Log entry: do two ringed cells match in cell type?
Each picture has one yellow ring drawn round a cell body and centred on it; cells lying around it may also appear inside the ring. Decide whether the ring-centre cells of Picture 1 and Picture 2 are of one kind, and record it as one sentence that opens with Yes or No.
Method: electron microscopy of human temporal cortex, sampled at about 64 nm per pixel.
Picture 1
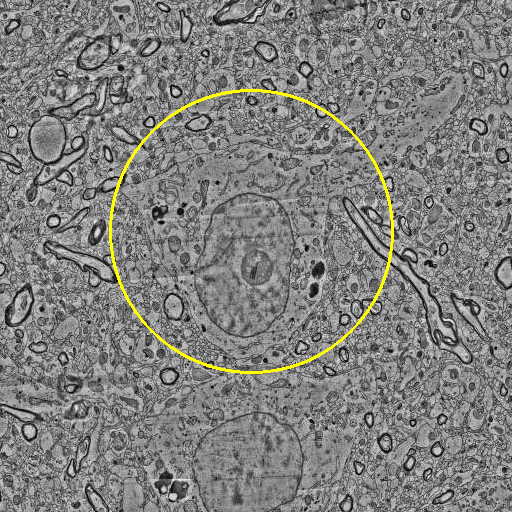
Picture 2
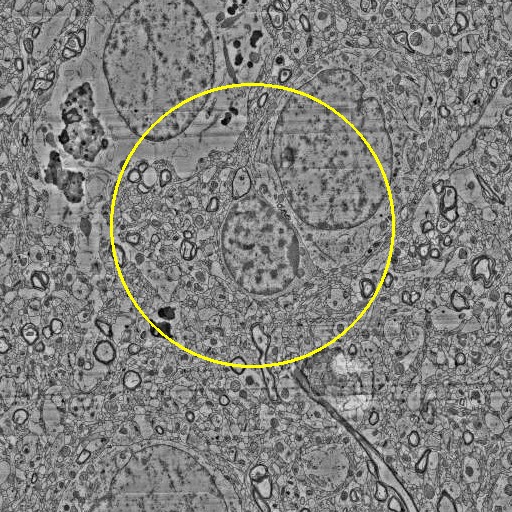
No, the cells at the ring centres of the two pictures belong to two kinds.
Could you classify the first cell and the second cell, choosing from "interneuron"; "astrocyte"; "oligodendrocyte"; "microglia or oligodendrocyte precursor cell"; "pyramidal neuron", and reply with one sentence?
The second cell is an oligodendrocyte, while the first is a pyramidal neuron.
